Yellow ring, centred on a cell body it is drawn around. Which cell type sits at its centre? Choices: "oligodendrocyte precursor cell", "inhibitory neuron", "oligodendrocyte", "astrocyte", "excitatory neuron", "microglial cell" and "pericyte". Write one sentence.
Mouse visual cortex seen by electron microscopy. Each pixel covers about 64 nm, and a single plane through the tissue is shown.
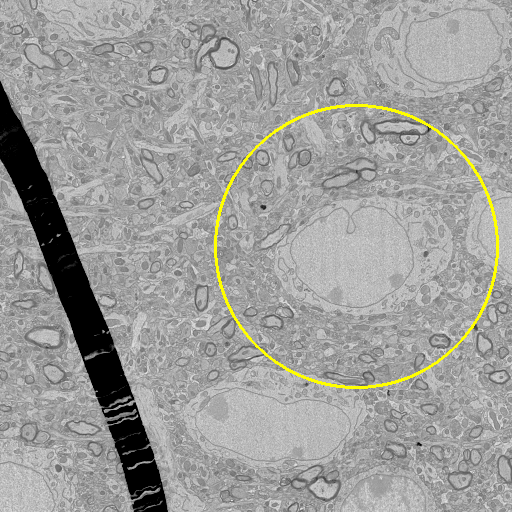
At the centre of the ring sits an excitatory neuron.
